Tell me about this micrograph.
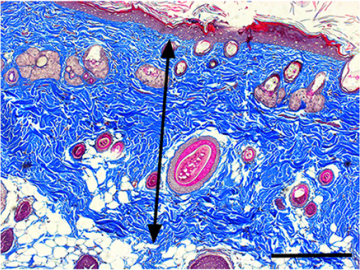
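Skin in section: a thin red-brown epidermis with red keratin at the top, over a broad dermis of densely packed blue collagen fibres. A double-headed black arrow spans the dermis from beneath the epidermis to its deep edge. Hair follicles and pale sebaceous glands cluster in the upper dermis; deeper, follicles cut in cross-section show red-stained walls and shafts, and a large round follicle stands out in the middle. At the lower left, clear rounded fat cells form a layer of adipose tissue beneath the collagen.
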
